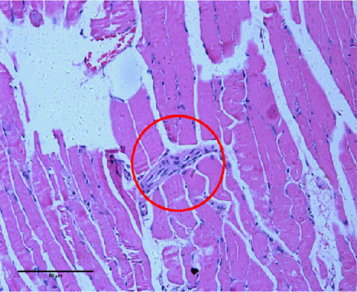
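Skeletal muscle in a hematoxylin and eosin section, with its fibres cut partly along their length and partly obliquely. The fibres stain pink and are separated by wide, pale, unstained clefts. A large empty space occupies the upper left. Flattened dark purple nuclei sit at the edges of the fibres. Within the red circle, a cluster of small, dark, rounded and elongated nuclei lies crowded in the space between fibres, denser than anywhere else in the field.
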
